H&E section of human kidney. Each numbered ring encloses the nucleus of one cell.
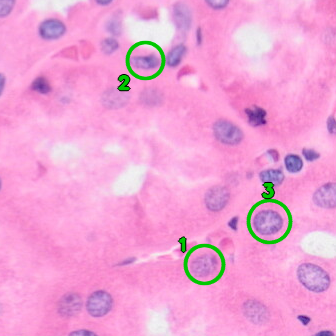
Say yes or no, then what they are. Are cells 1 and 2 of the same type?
No, here cell 1 is a proximal tubule cell, whereas cell 2 is a collecting duct cell.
